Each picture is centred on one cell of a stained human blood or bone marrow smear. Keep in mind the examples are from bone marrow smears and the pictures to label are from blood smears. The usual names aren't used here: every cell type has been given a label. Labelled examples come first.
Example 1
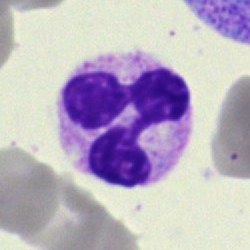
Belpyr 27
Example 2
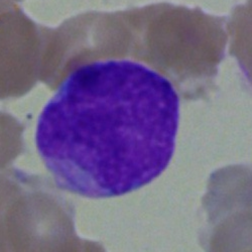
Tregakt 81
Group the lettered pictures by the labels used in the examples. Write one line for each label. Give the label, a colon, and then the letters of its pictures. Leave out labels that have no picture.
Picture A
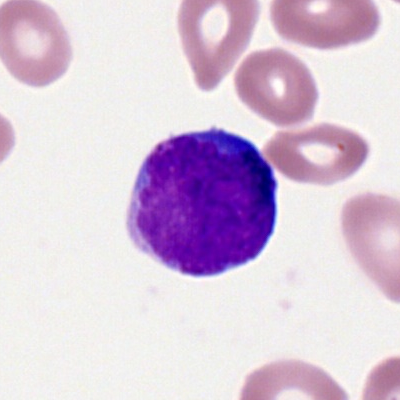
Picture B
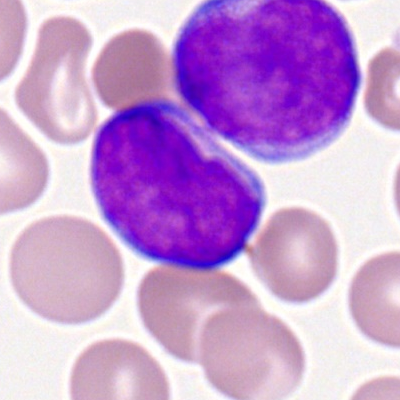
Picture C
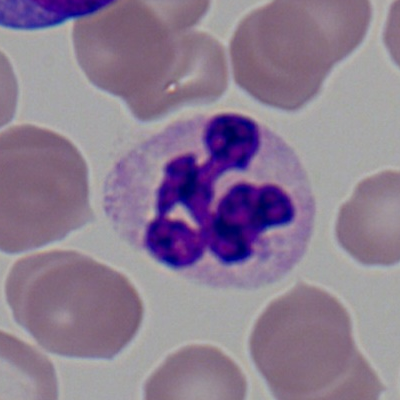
Belpyr 27: C
Tregakt 81: A, B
